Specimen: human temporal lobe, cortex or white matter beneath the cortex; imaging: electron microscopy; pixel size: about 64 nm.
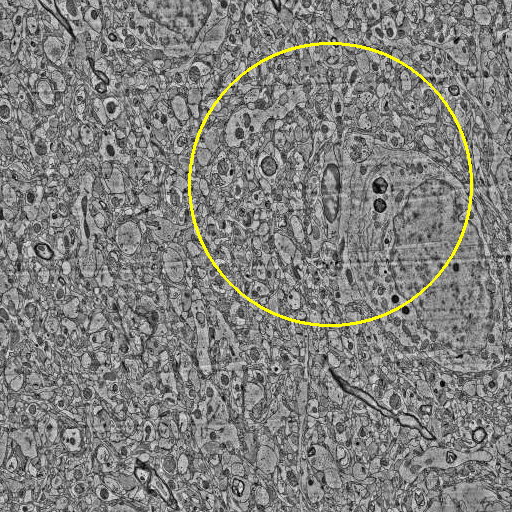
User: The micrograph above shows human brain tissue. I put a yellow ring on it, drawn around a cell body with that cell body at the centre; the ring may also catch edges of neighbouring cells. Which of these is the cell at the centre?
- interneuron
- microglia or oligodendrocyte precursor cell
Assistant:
microglia or oligodendrocyte precursor cell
